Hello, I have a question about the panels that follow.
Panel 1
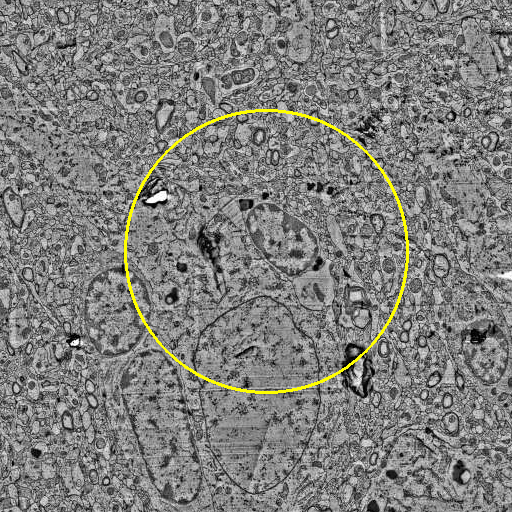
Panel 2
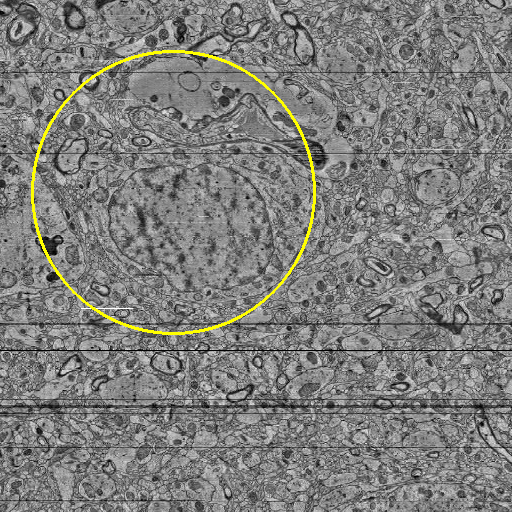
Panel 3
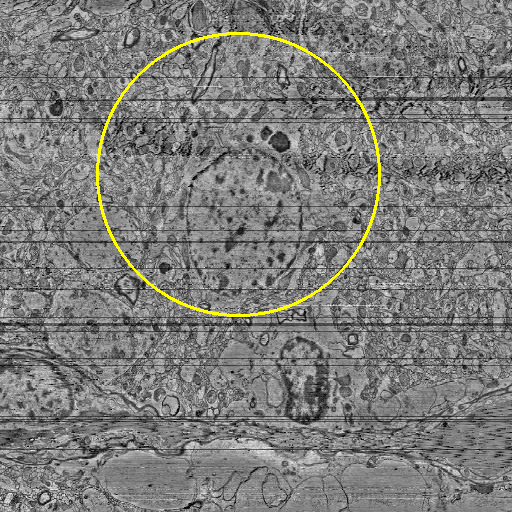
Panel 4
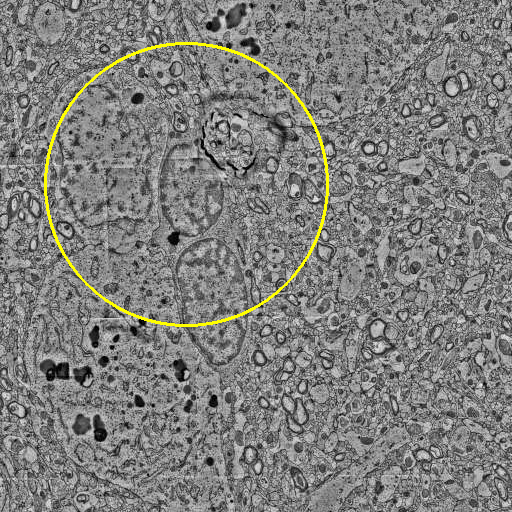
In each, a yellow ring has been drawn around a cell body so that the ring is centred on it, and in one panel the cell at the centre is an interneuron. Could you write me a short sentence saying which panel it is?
It is Panel 2.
